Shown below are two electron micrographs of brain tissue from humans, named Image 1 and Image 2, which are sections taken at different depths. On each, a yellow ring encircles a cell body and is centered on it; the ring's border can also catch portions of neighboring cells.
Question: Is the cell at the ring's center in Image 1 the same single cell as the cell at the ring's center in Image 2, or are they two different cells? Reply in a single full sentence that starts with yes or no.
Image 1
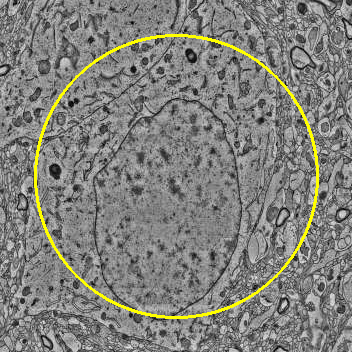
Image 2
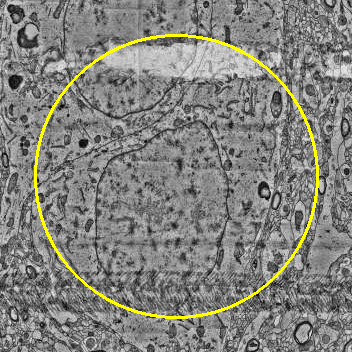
Yes, both rings are placed on a single cell.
